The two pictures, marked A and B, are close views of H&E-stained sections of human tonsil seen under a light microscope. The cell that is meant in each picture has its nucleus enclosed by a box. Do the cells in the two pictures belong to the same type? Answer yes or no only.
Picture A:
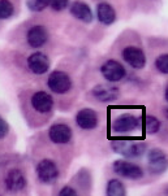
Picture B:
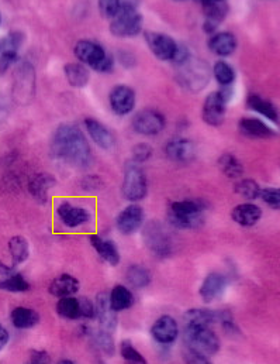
no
